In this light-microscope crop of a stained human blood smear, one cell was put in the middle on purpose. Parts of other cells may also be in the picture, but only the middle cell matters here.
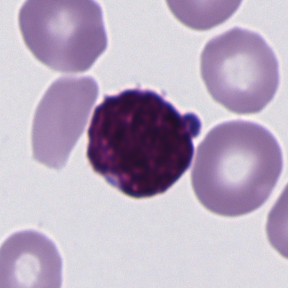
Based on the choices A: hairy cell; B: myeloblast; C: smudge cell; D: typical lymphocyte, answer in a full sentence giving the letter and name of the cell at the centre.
The central cell is a myeloblast, which makes option B the right answer.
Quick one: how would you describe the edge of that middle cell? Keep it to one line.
The contour of the cell is interrupted by ragged areas or by projections.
